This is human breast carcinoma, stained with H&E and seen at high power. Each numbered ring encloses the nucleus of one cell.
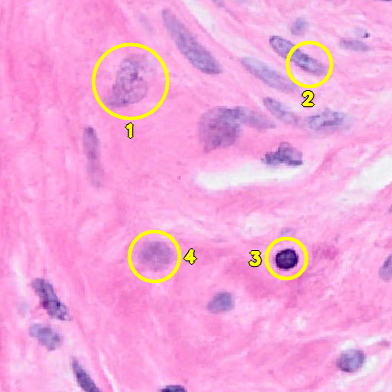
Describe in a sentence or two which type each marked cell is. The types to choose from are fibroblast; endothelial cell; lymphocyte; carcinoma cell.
Cell 1 is a fibroblast, cell 2 is an endothelial cell, cell 3 is a lymphocyte and cell 4 is a fibroblast.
